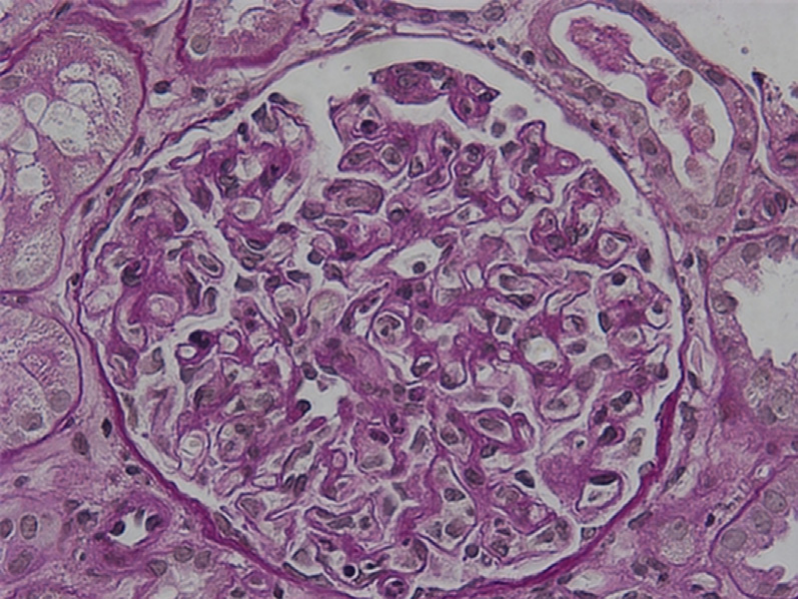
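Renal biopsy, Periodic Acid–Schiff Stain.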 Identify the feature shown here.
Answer: Glomerulus.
